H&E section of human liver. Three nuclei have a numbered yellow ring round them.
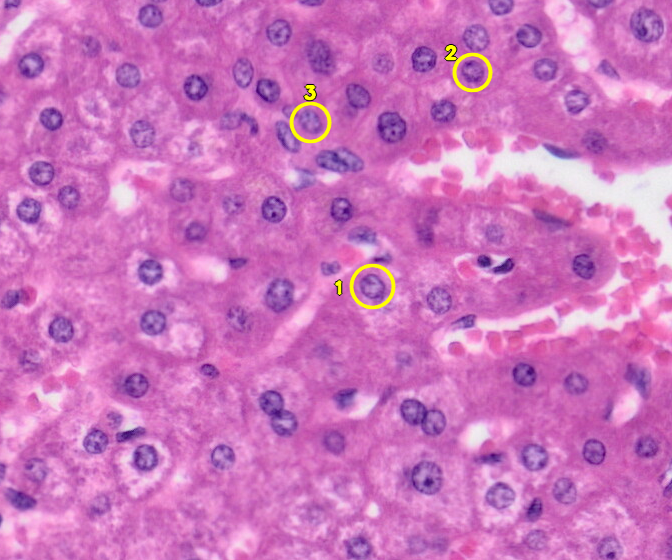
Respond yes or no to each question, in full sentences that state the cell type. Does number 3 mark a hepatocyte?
No. Cell number 3 is a cholangiocyte, not a hepatocyte.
